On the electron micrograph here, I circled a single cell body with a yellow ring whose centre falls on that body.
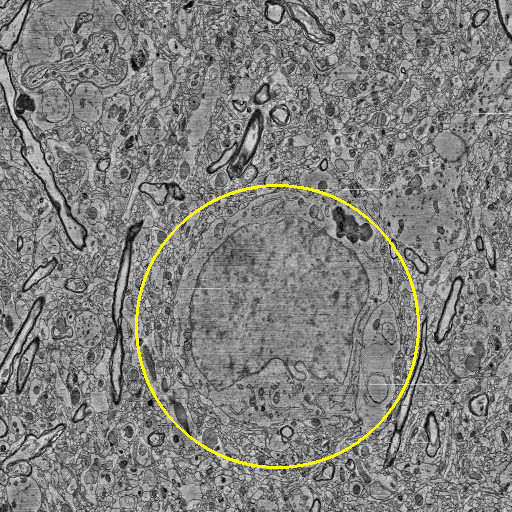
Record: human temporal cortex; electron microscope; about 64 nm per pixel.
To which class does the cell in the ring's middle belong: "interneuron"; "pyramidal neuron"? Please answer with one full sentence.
In this picture, the cell body circled at the ring's centre belongs to an interneuron.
